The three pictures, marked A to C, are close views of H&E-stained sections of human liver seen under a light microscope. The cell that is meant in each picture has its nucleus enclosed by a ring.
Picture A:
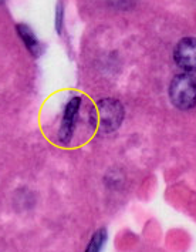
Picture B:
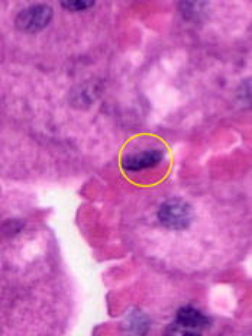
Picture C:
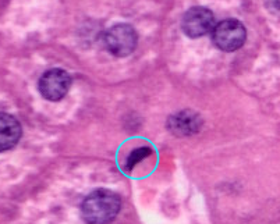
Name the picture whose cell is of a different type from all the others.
B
